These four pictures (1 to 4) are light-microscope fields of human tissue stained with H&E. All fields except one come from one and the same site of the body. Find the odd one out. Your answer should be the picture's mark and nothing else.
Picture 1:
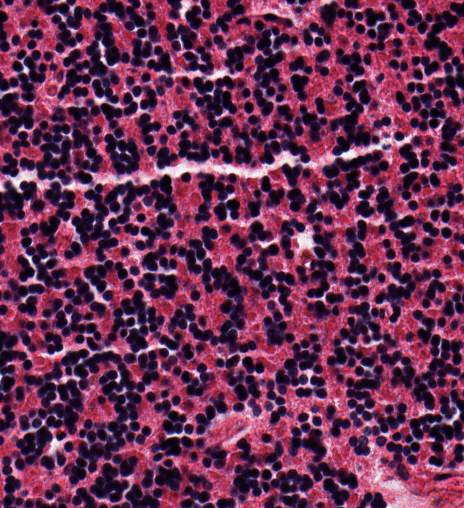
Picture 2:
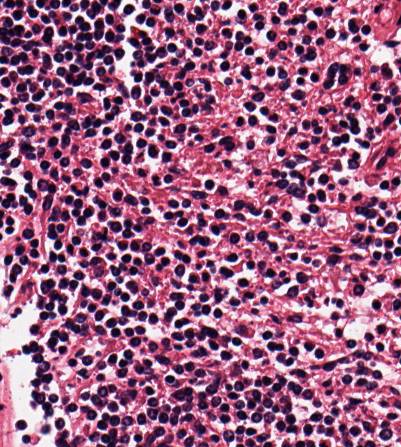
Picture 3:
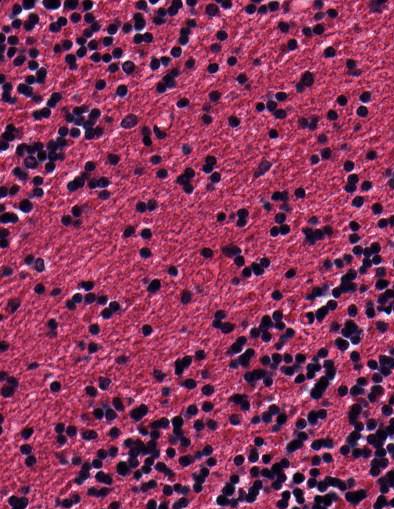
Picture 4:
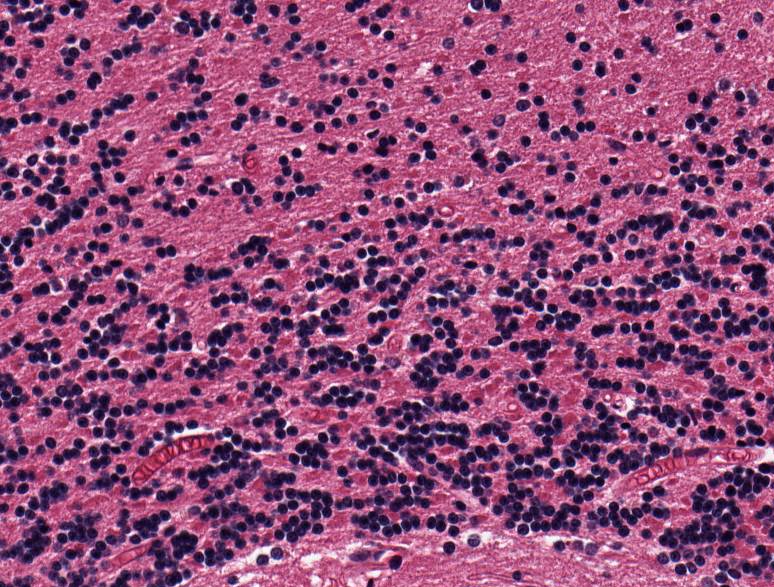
2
